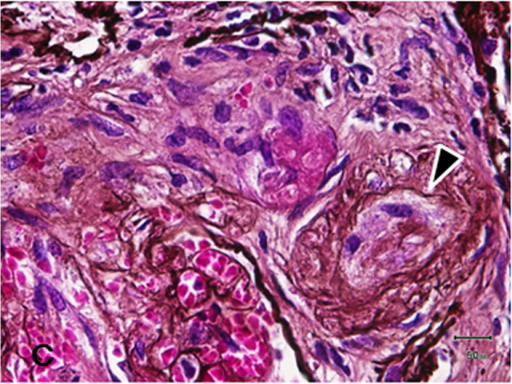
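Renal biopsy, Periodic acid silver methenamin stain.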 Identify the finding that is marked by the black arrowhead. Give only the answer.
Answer: obliterative intimal change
